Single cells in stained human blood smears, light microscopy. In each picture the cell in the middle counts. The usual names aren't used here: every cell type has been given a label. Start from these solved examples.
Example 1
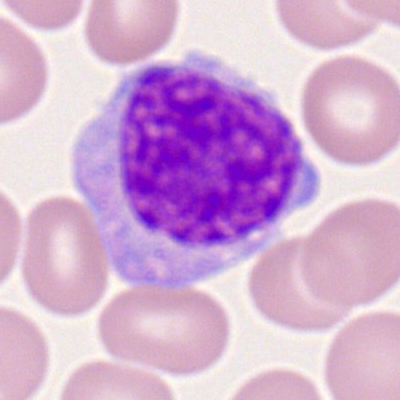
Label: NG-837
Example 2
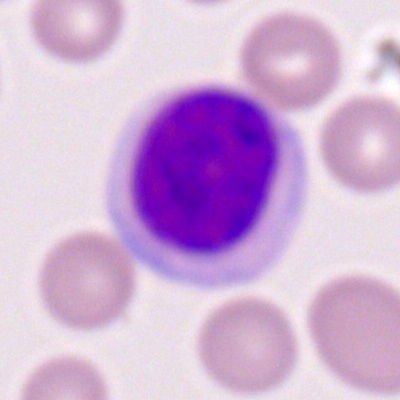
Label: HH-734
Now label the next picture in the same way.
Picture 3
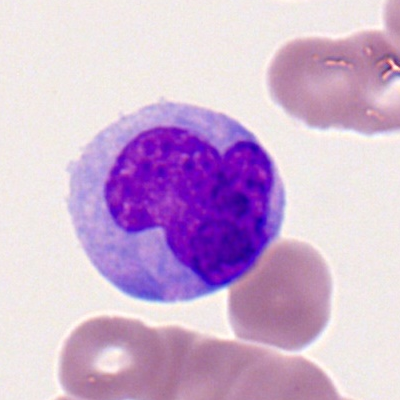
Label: NG-837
